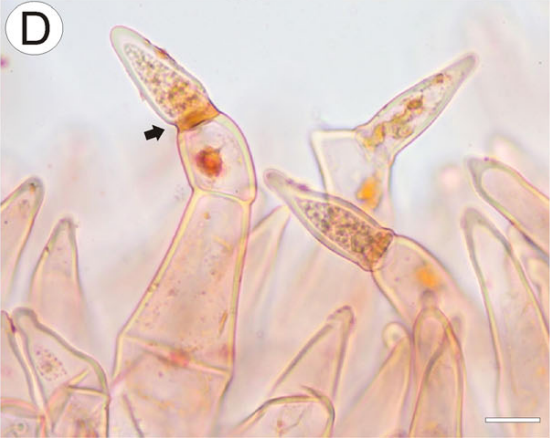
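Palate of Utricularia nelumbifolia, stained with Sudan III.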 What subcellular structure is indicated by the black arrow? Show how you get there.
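The arrow points to a narrow band below the pointed terminal cell. This band is stained deep orange, darker than neighbouring walls. The answer: lateral cell walls of central cell.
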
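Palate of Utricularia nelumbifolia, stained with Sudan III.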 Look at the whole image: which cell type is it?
Glandular trichomes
